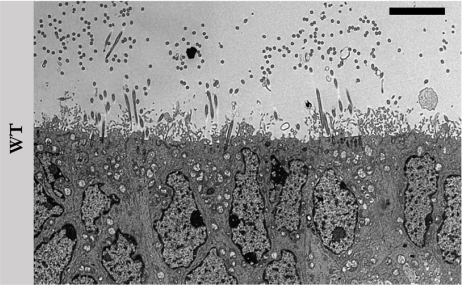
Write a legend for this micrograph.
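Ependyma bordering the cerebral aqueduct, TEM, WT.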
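The apical cytoplasm is dense and bears many short projections. The lumen above holds numerous cilia cut in cross and oblique section.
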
